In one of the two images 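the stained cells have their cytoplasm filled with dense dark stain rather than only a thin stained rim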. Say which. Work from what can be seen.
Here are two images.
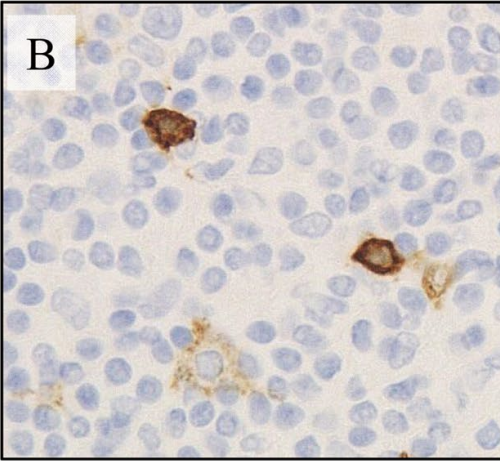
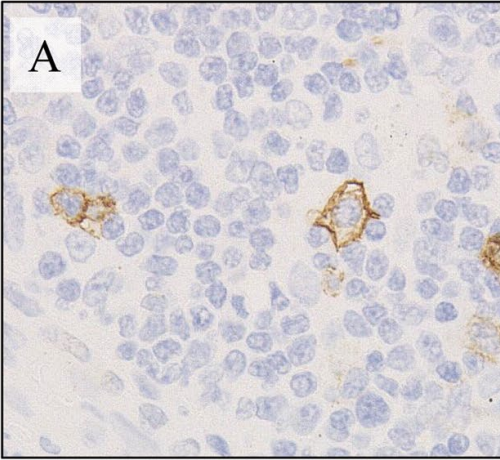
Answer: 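The first image. First image: two cells are solidly dark brown throughout their cytoplasm.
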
